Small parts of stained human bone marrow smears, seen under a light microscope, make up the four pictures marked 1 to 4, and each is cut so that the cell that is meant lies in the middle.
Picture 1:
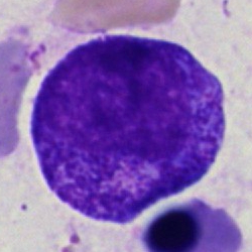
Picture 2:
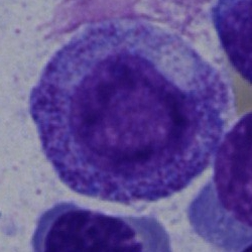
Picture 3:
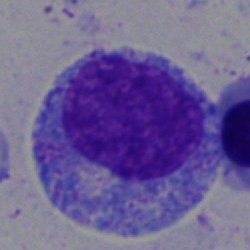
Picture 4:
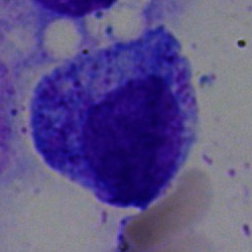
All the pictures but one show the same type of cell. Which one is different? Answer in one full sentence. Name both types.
The others show promyelocytes, but picture 3 shows a myelocyte.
